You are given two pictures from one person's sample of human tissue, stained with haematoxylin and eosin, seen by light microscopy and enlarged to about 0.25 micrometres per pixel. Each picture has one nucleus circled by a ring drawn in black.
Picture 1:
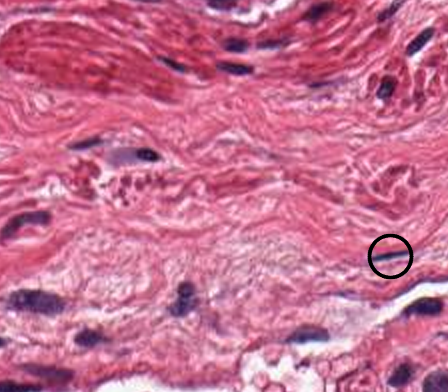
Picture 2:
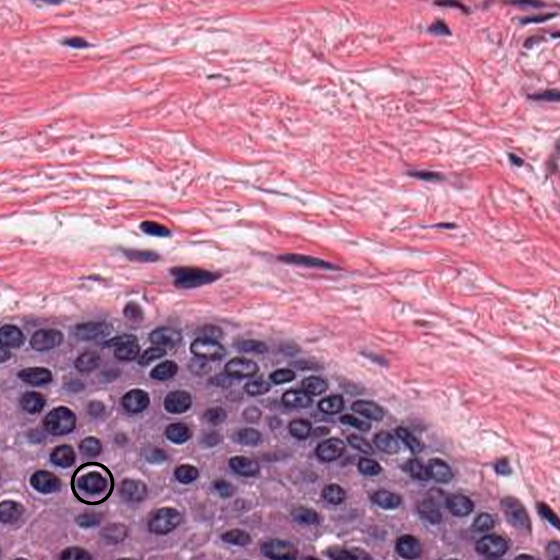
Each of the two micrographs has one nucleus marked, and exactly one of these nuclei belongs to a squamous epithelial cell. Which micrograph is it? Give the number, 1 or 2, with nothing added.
2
